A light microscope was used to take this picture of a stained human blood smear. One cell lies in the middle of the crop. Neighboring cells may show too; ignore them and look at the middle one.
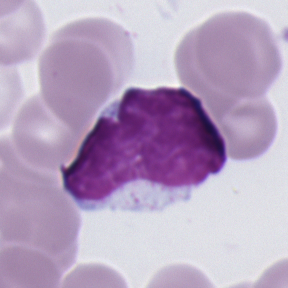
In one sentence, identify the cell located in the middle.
The cell at the middle of the frame should be recorded as a large granular lymphocyte.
